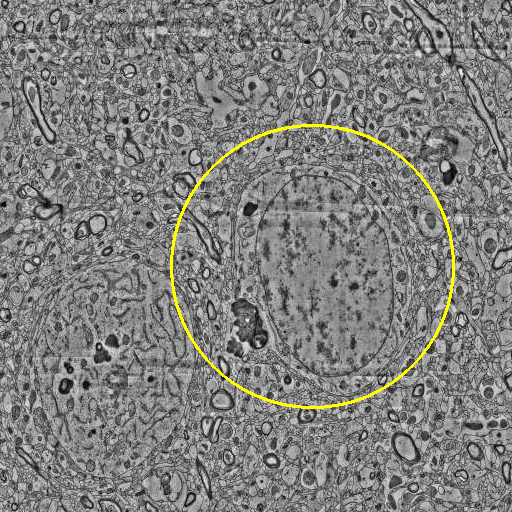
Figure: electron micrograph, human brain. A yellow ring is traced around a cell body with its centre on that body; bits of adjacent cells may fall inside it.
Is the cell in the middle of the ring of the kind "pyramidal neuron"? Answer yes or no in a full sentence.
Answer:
Yes, that kind applies to the cell centred within the yellow ring of the picture.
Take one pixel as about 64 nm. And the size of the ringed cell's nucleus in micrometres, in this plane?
Roughly 13 by 9 micrometers, clearly longer than it is wide in this plane.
